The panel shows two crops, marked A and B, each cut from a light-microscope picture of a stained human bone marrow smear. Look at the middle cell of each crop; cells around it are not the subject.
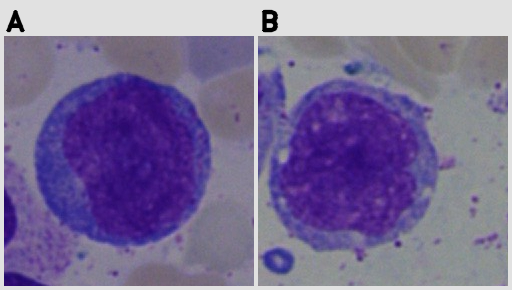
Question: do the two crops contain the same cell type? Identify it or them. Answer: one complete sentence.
No, crop B holds a monocyte, while crop A holds a promyelocyte.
